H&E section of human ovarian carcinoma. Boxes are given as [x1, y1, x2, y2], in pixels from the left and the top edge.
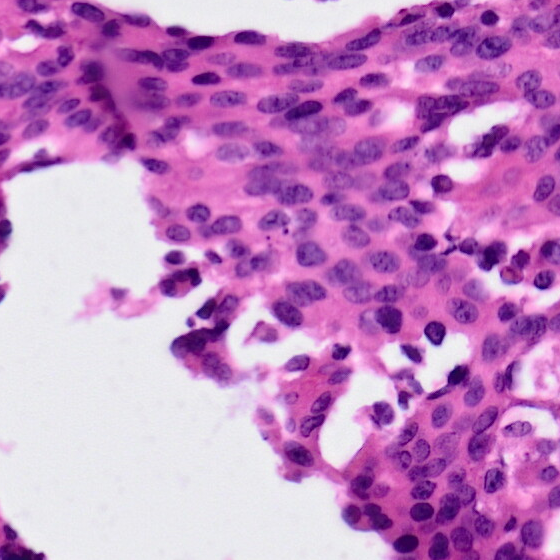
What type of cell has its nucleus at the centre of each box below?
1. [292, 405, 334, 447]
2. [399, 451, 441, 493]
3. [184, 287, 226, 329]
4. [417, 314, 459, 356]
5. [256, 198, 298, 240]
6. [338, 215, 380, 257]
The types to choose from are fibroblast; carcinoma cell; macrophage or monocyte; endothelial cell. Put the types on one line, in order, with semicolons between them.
macrophage or monocyte; carcinoma cell; carcinoma cell; carcinoma cell; macrophage or monocyte; carcinoma cell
